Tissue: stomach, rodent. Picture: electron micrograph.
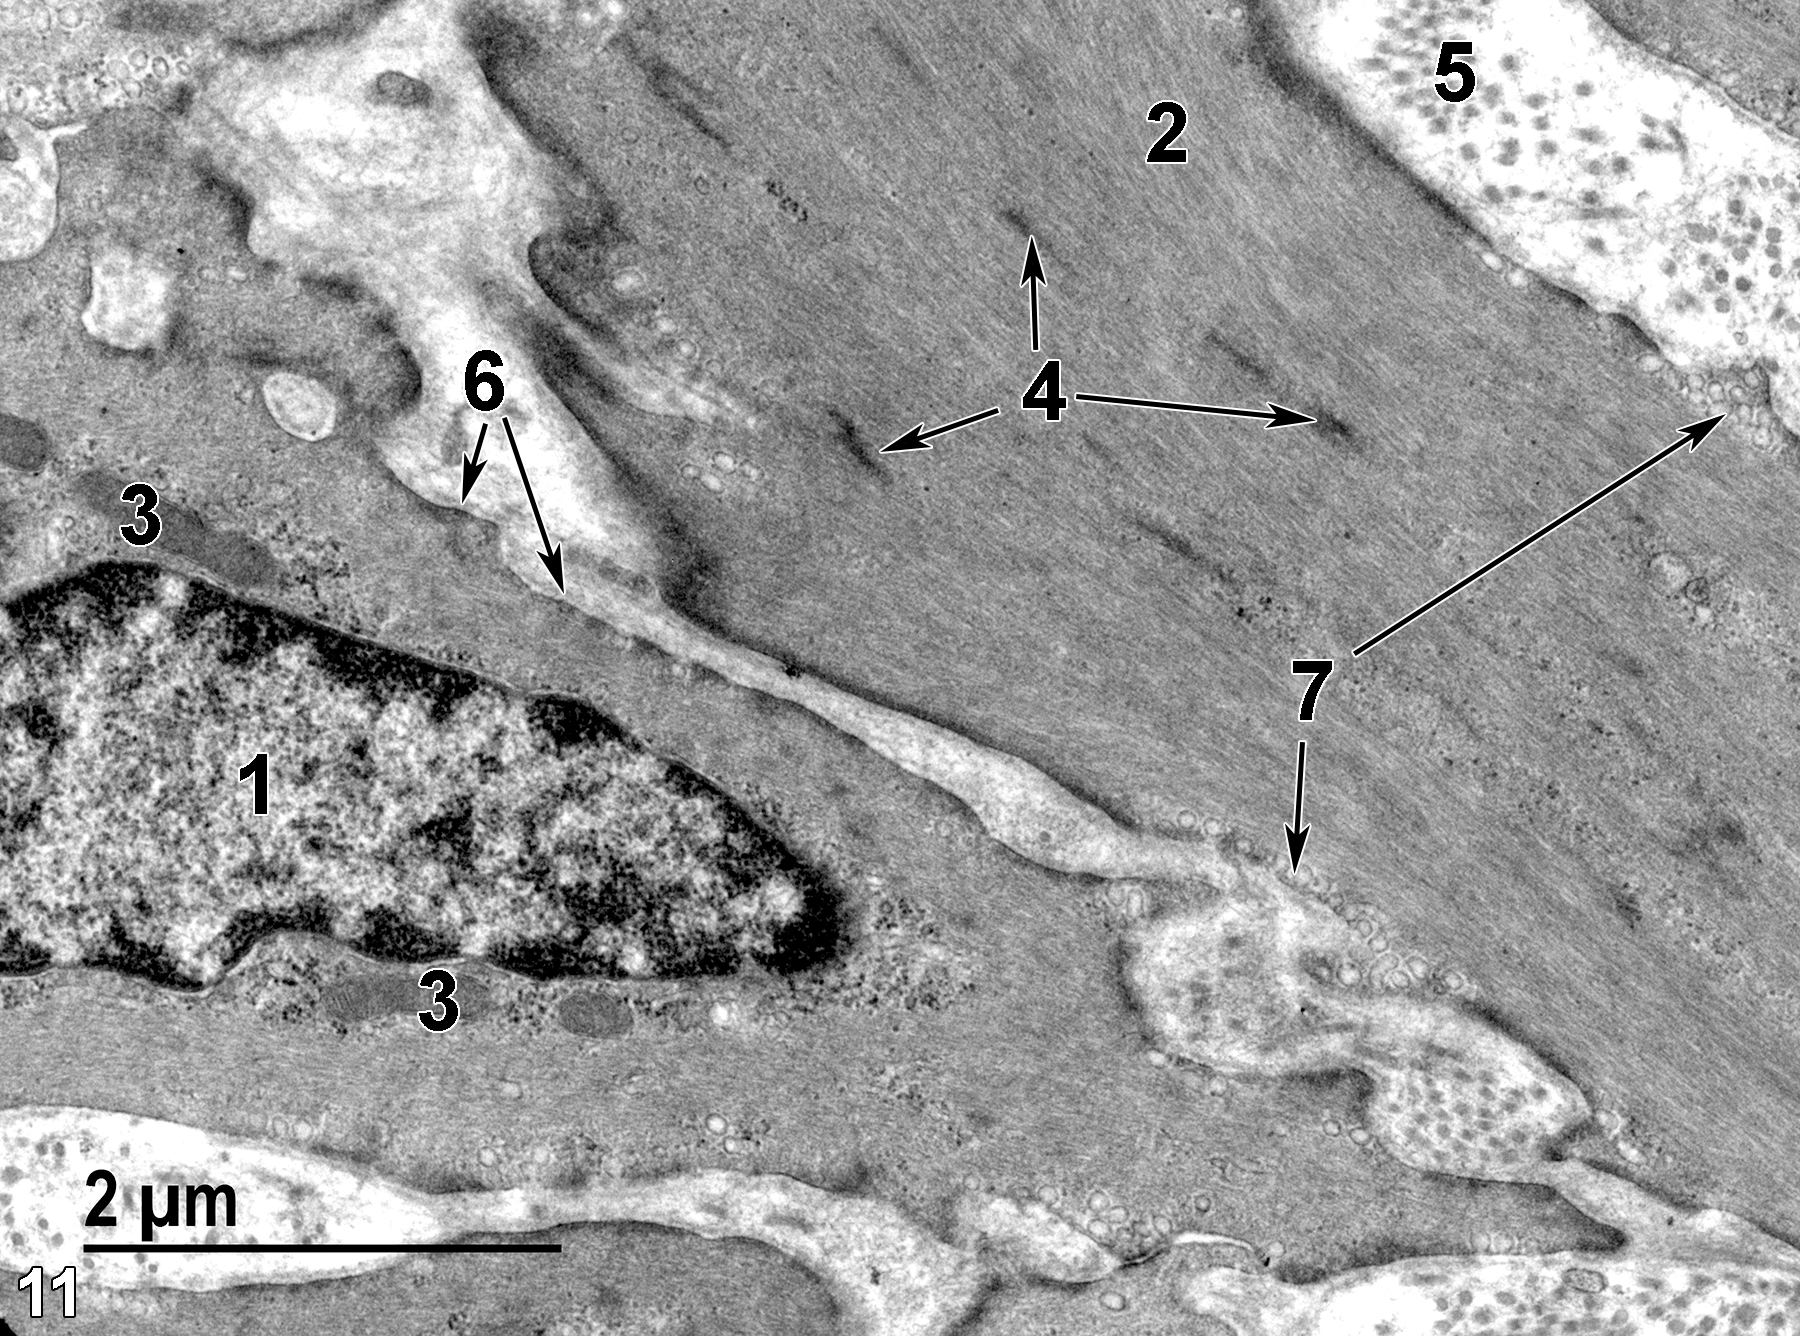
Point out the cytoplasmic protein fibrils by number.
The cytoplasmic protein fibrils: 2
